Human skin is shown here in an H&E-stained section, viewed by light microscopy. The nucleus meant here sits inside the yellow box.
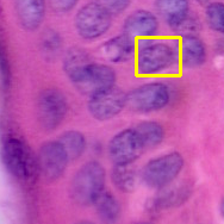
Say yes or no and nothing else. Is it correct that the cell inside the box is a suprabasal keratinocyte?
no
